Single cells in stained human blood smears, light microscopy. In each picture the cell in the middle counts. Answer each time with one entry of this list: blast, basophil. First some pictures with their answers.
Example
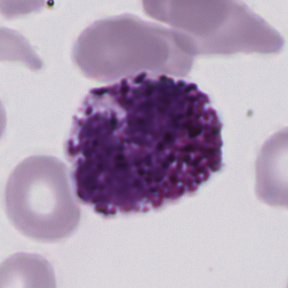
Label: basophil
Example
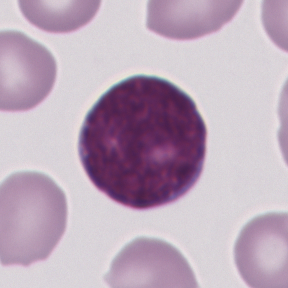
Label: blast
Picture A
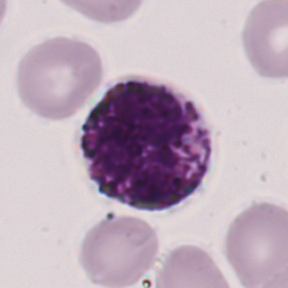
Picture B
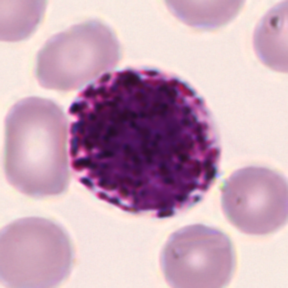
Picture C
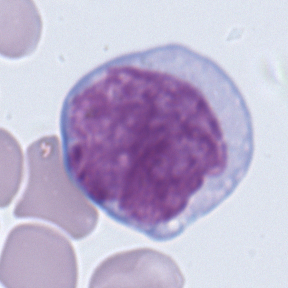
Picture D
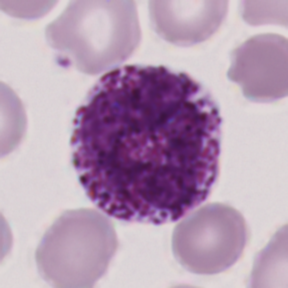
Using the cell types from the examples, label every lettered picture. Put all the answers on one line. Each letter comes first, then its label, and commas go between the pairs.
A basophil, B basophil, C blast, D basophil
